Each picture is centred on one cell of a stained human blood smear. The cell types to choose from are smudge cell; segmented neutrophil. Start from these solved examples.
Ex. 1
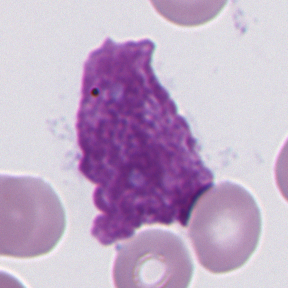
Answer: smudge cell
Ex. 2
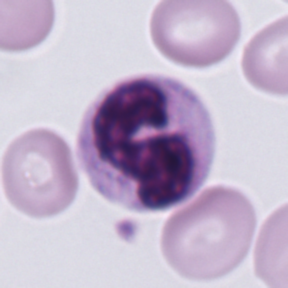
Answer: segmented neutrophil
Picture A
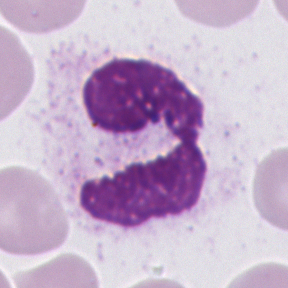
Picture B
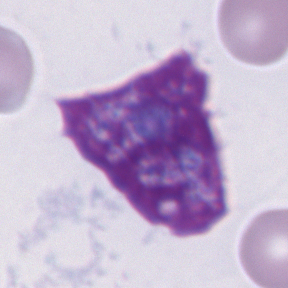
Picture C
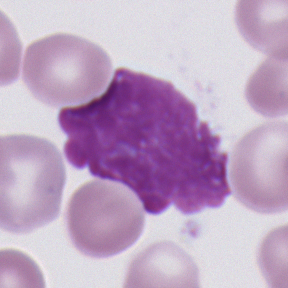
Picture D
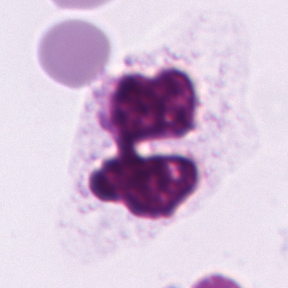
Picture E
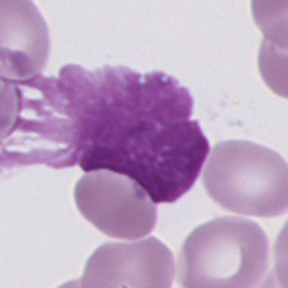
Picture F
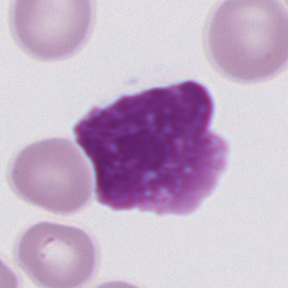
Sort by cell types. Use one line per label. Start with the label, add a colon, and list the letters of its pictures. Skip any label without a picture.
smudge cell: B, C, E, F
segmented neutrophil: A, D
